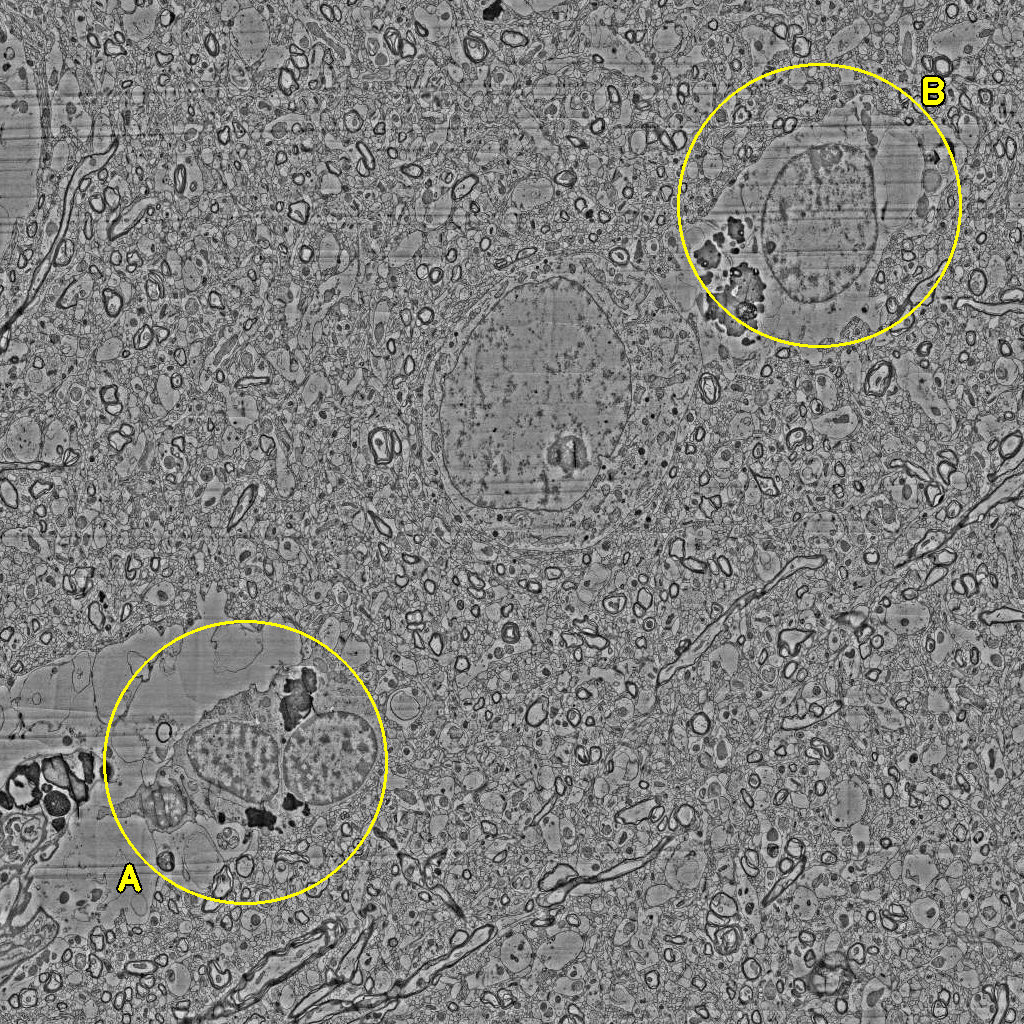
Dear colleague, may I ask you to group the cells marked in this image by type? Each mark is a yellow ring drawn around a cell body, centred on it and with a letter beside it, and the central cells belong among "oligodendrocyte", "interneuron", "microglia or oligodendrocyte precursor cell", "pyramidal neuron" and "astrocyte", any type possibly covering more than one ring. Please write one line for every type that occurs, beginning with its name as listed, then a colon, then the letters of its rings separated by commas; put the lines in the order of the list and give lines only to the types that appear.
oligodendrocyte: A
astrocyte: B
